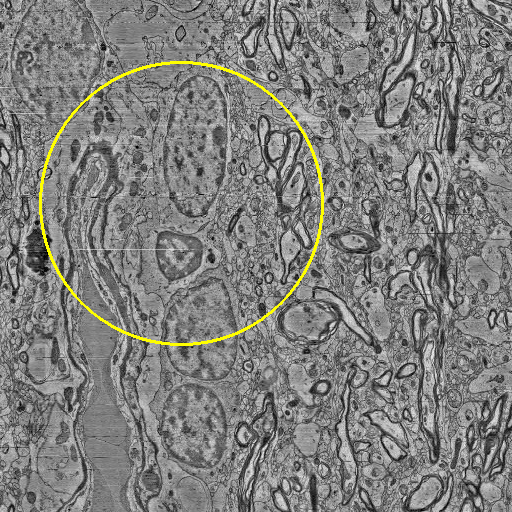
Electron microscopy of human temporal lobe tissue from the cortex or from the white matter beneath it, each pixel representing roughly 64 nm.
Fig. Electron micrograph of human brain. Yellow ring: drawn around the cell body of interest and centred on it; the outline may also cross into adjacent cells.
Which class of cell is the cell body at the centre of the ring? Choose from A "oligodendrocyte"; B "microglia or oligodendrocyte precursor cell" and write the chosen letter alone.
B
